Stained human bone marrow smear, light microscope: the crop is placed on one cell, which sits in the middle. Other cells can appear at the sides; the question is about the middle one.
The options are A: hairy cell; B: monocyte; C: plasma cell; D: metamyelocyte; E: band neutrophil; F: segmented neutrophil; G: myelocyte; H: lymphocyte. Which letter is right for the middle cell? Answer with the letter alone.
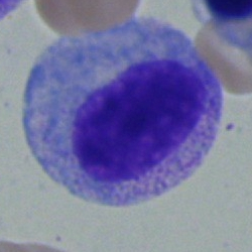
D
